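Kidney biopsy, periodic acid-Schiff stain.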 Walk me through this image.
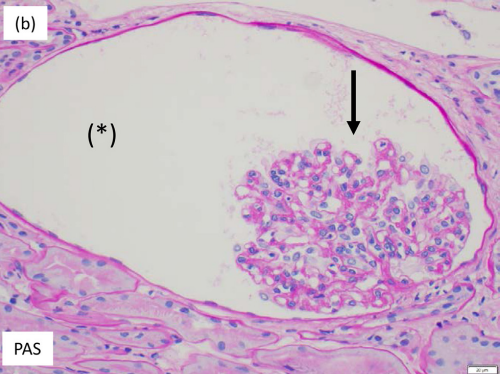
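A small collapsed glomerular capillary tuft lies at one edge of a greatly dilated, cyst-like, empty space bounded by a thin magenta capsule. The tuft shows crowded blue nuclei among magenta basement membranes, and tubules with cuboidal epithelial cells surround the dilated space.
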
